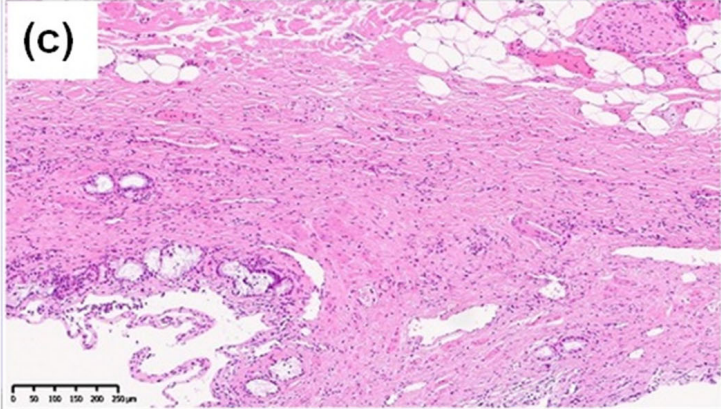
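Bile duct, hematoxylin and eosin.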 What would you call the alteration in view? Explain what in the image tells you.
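Fibrous thickening. A broad band of dense pink fibrous stroma occupies most of the wall. Small gland-like structures and a lumen lie at the lower left, with fat cells at the top edge of the thick wall.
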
